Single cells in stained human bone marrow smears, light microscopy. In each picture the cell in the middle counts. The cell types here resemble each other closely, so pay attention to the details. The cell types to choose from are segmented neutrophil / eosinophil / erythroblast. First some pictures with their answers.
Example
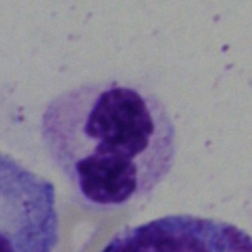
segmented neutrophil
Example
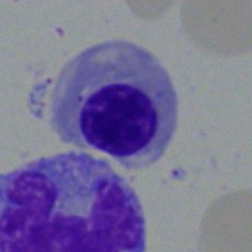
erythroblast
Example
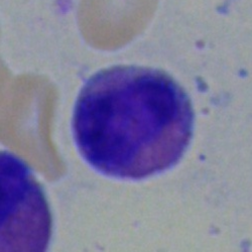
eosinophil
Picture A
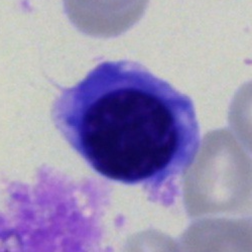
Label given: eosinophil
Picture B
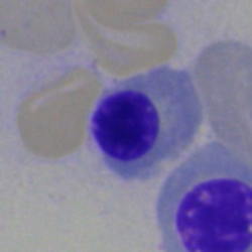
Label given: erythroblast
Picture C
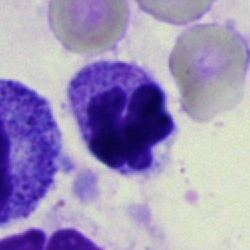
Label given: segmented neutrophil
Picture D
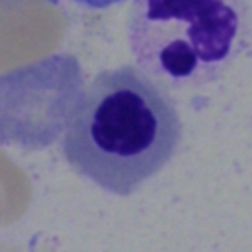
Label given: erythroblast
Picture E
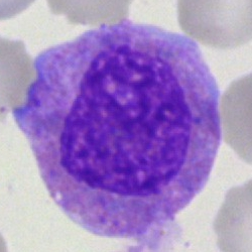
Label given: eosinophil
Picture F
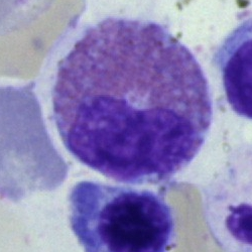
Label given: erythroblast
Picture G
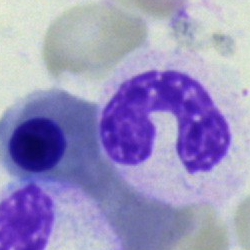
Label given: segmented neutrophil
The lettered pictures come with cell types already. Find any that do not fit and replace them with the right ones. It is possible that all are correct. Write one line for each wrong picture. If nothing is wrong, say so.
A: not eosinophil but erythroblast
F: not erythroblast but eosinophil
